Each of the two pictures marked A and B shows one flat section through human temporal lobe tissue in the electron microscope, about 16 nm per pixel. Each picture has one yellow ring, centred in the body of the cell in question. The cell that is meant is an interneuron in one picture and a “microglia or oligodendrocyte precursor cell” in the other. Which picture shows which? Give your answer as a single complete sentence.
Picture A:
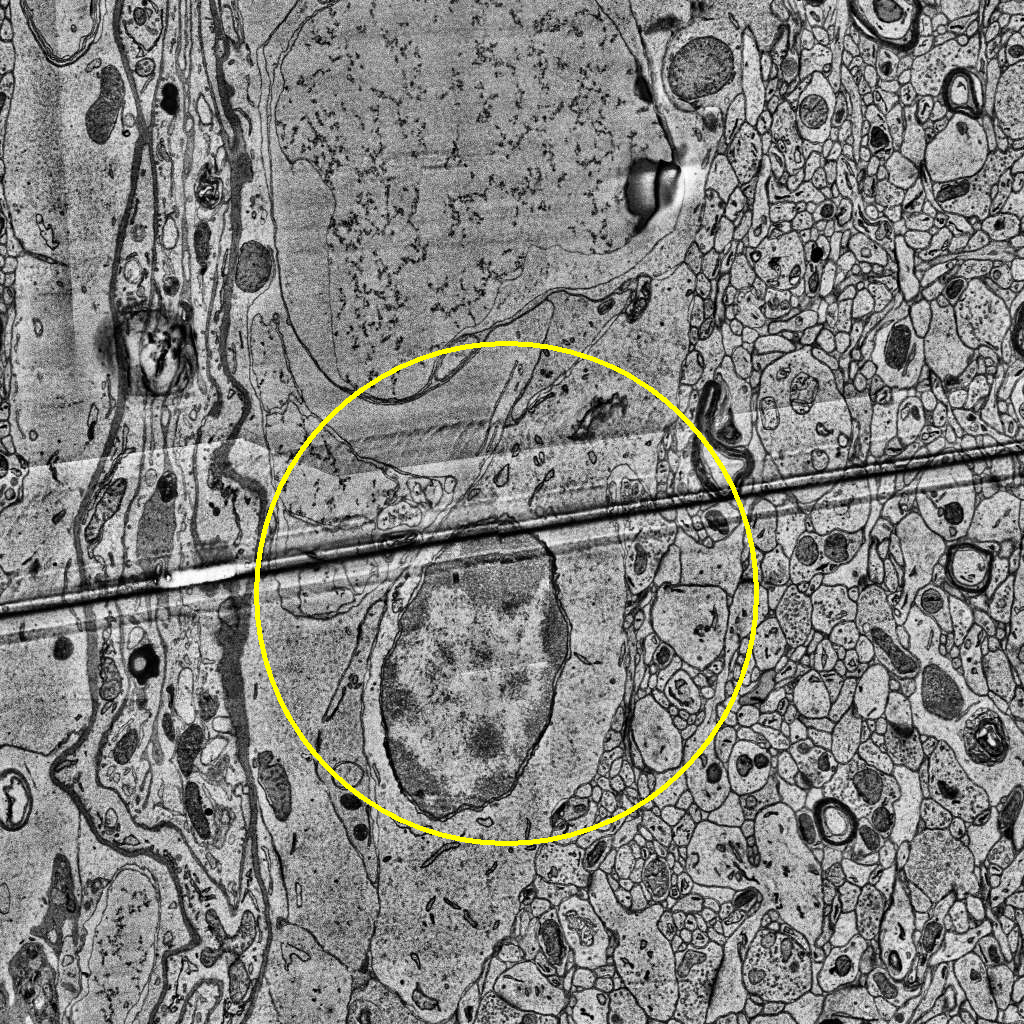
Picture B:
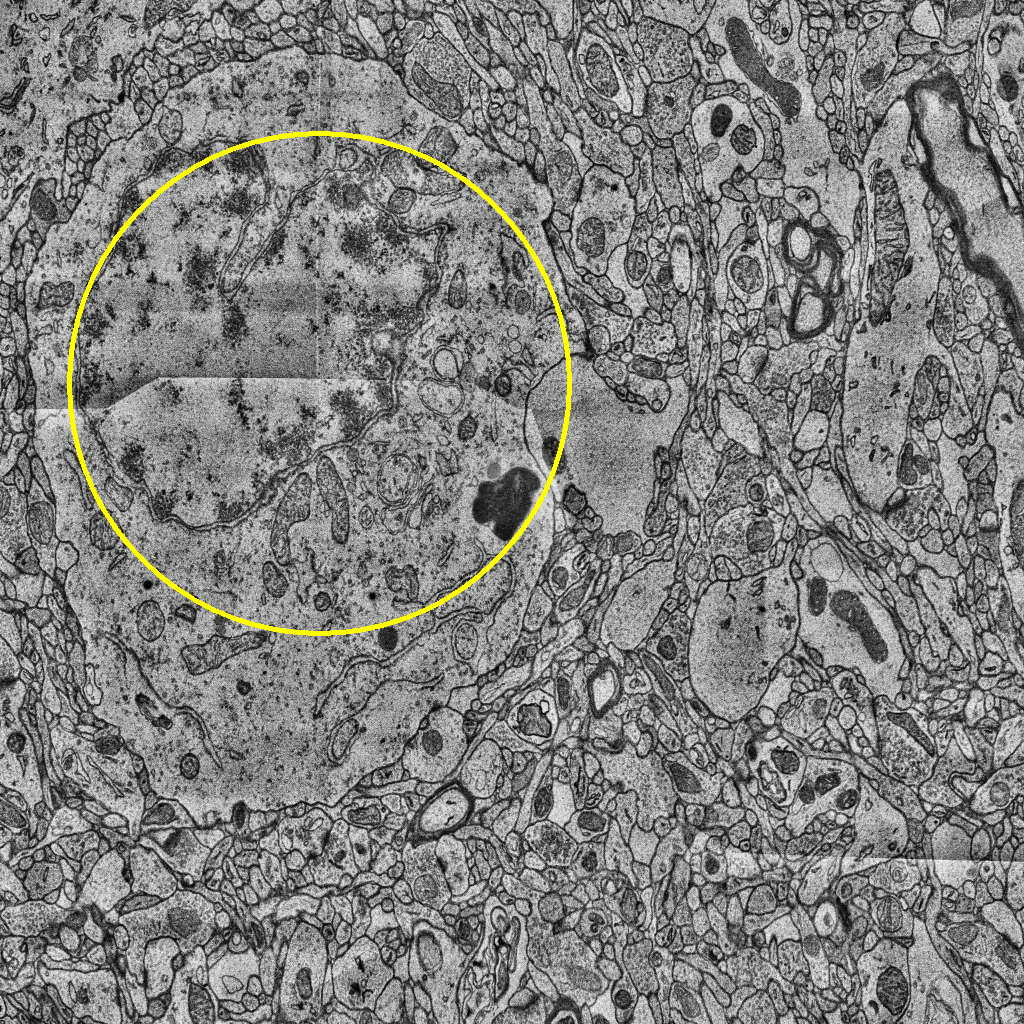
Picture A is of a “microglia or oligodendrocyte precursor cell”, and picture B is of an interneuron.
